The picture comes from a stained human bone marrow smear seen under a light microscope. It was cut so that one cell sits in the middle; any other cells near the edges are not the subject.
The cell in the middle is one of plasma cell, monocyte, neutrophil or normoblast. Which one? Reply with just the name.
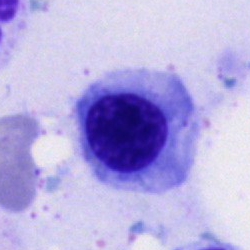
normoblast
